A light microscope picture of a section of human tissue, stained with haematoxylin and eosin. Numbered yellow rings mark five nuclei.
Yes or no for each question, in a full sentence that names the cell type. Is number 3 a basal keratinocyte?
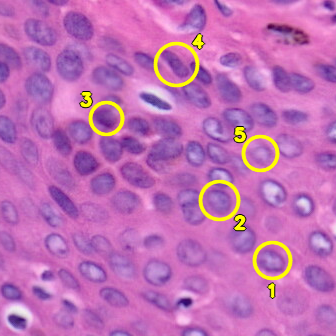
Yes, it checks out; the cell labelled 3 is a basal keratinocyte.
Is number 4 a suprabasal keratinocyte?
No, the cell under number 4 is a basal keratinocyte instead of a suprabasal keratinocyte.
